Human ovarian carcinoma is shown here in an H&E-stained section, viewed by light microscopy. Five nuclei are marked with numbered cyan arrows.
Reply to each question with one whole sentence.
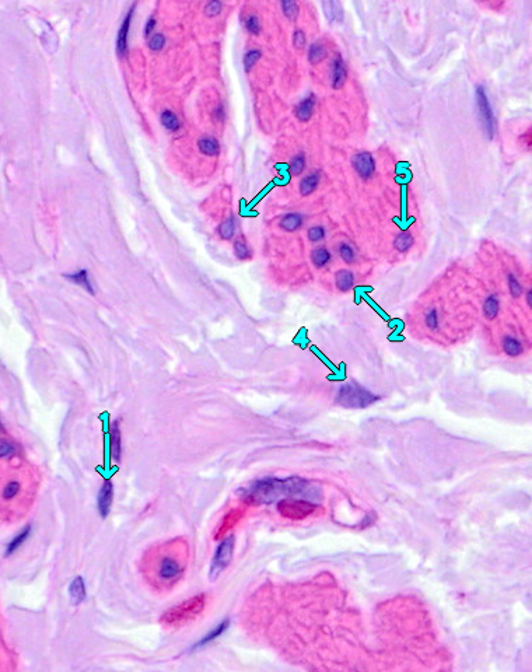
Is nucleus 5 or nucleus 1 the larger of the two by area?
It is nucleus 1, which covers about 1.5 times the area of nucleus 5.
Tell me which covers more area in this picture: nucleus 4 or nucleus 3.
It is nucleus 4, which covers about 2.5 times the area of nucleus 3.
